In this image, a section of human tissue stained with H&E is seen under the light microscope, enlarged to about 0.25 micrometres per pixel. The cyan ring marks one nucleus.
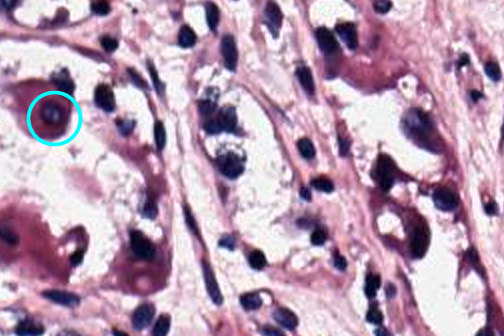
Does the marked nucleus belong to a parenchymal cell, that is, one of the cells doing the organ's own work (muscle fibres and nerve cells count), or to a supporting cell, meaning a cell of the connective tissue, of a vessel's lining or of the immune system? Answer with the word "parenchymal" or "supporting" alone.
parenchymal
